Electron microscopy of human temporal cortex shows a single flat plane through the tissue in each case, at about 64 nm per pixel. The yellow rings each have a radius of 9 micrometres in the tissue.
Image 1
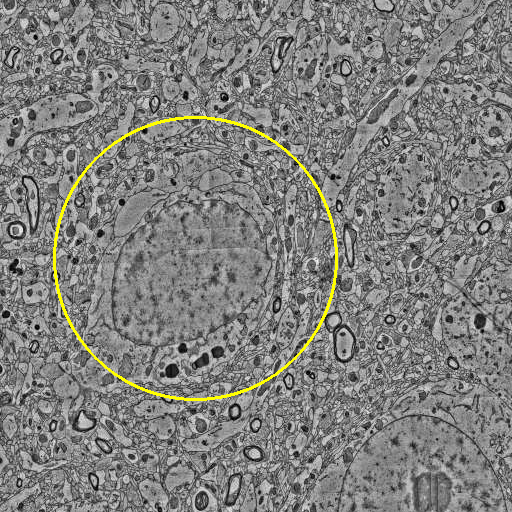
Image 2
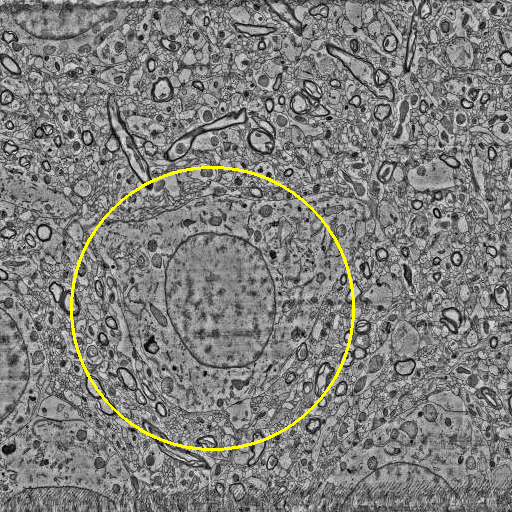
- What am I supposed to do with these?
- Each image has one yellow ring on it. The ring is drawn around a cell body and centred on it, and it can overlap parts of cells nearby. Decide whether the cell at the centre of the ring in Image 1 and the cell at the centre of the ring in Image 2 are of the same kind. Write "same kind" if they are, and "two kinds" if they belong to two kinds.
two kinds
